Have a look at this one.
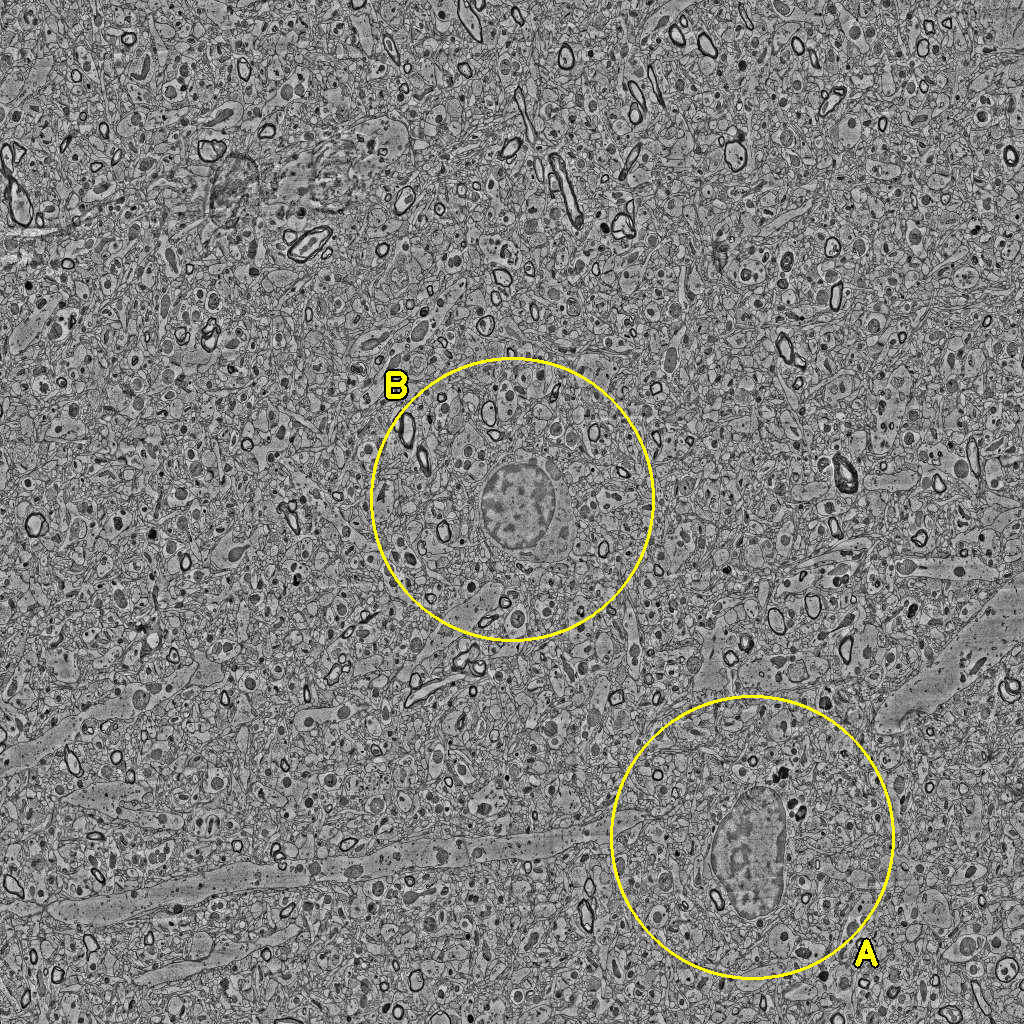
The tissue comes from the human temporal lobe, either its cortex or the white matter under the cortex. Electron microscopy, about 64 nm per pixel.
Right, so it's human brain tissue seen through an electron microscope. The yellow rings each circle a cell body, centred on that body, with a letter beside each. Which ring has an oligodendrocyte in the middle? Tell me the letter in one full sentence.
That kind of cell is sitting in the middle of ring B there.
